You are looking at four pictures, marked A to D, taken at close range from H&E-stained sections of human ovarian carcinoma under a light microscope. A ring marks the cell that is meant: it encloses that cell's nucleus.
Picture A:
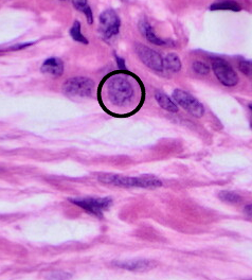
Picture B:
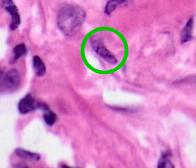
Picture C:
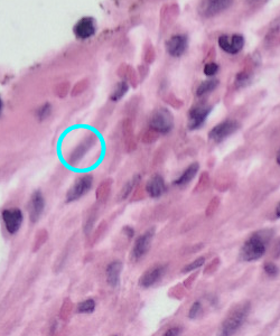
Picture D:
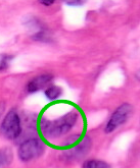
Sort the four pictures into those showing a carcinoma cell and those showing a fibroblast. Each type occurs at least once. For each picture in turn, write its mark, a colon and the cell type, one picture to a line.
A: carcinoma cell
B: fibroblast
C: fibroblast
D: carcinoma cell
